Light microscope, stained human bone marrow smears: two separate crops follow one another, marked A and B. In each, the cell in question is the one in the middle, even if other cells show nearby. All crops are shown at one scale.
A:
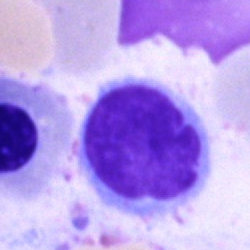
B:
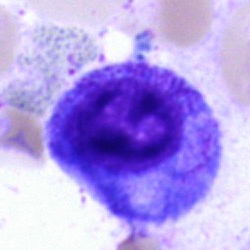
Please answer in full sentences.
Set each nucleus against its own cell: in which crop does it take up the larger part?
In crop A the nucleus takes up the larger part of its cell.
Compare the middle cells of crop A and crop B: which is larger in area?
The cell in crop B is larger, with about 1.5 times the area of the one in crop A.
